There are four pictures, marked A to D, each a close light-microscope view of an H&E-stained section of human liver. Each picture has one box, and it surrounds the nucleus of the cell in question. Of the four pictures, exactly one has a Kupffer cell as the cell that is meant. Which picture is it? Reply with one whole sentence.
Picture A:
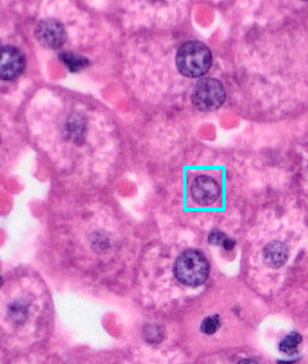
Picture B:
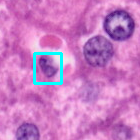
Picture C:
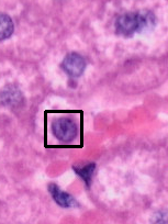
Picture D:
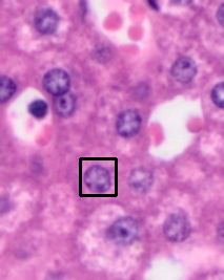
Picture B shows the Kupffer cell.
